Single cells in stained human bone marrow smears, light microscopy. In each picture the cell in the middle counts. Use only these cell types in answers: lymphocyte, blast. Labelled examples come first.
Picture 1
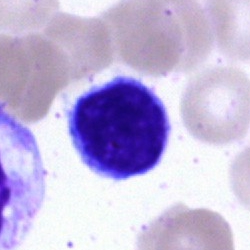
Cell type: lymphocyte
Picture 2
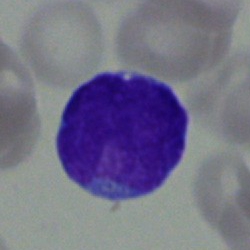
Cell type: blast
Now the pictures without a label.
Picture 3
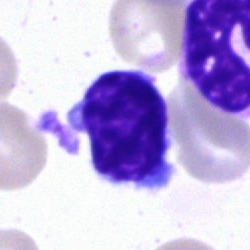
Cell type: lymphocyte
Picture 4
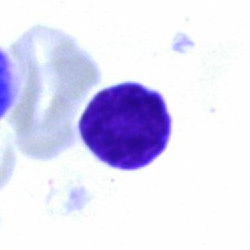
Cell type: lymphocyte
